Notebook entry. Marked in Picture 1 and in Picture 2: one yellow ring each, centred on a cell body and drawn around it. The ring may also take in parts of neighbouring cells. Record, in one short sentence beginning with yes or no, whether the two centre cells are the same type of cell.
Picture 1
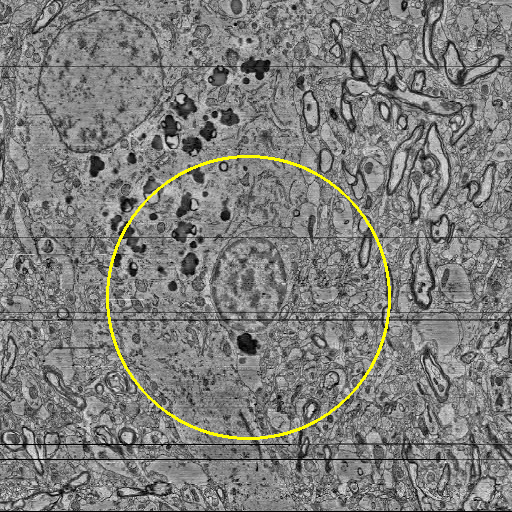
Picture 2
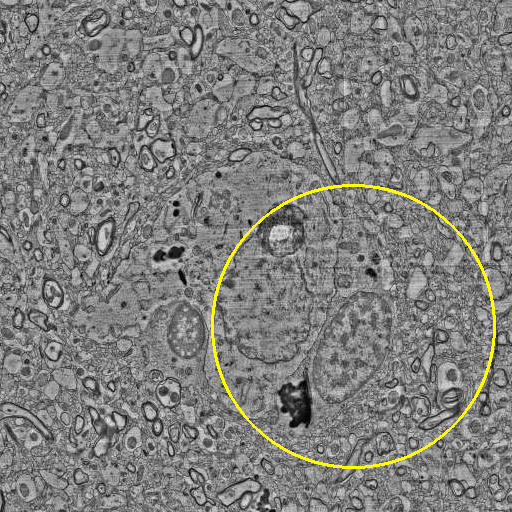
Yes, both are the same type of cell.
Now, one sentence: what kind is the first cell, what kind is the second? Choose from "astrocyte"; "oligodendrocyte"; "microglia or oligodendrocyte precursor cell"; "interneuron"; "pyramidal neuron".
In each of the two pictures, the ringed cell is an oligodendrocyte.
